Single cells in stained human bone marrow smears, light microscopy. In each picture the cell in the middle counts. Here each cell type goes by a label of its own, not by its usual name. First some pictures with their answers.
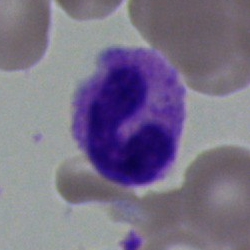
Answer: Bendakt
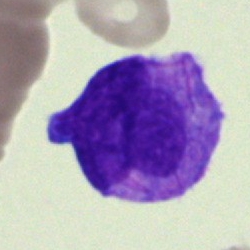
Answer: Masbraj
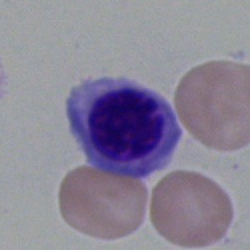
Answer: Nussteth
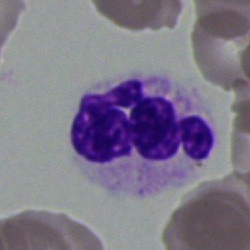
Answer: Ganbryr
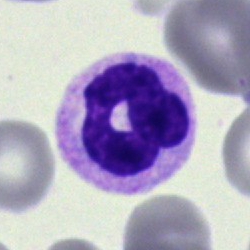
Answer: Ganbryr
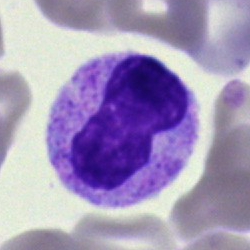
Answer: Bendakt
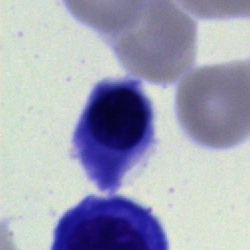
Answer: Nussteth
